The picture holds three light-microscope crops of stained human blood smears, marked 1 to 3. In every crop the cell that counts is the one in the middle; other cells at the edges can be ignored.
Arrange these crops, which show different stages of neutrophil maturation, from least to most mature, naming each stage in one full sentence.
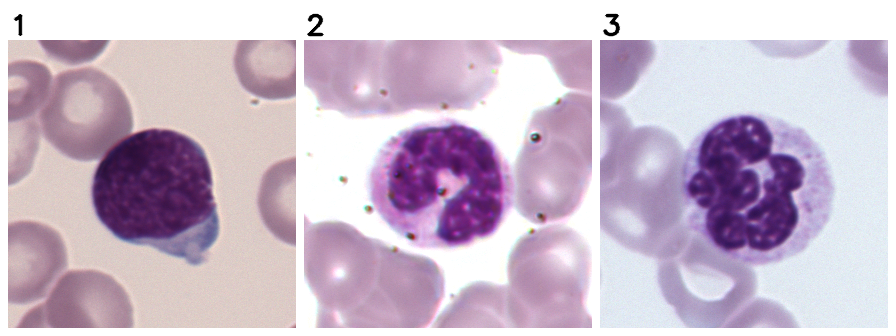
Sequenced by maturity, least first, the crops are crop 1 (a myeloblast), crop 2 (a band neutrophil) and crop 3 (a segmented neutrophil).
